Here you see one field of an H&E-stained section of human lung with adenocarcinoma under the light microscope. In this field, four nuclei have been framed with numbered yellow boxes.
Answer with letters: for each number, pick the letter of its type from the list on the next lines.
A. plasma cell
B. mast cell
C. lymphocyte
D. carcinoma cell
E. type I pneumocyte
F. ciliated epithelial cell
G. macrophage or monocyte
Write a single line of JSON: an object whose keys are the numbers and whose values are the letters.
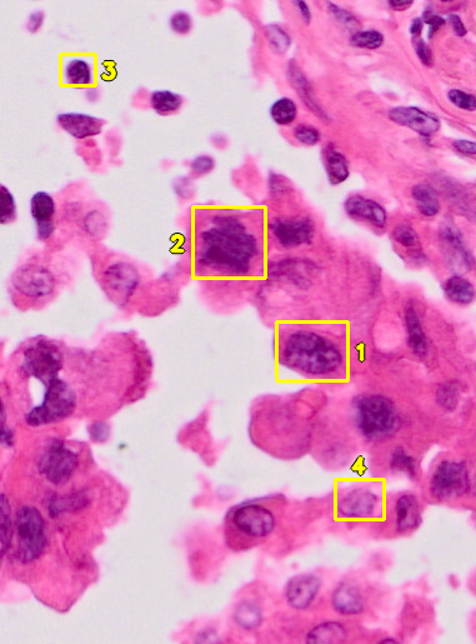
{"1": "D", "2": "D", "3": "C", "4": "G"}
